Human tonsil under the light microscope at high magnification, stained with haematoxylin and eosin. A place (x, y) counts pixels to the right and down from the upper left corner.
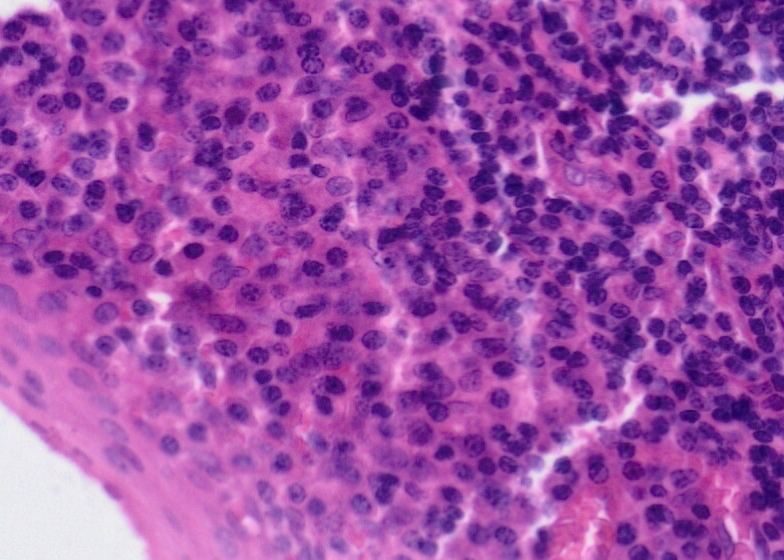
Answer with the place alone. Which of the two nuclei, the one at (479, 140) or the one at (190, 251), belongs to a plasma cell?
(190, 251)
